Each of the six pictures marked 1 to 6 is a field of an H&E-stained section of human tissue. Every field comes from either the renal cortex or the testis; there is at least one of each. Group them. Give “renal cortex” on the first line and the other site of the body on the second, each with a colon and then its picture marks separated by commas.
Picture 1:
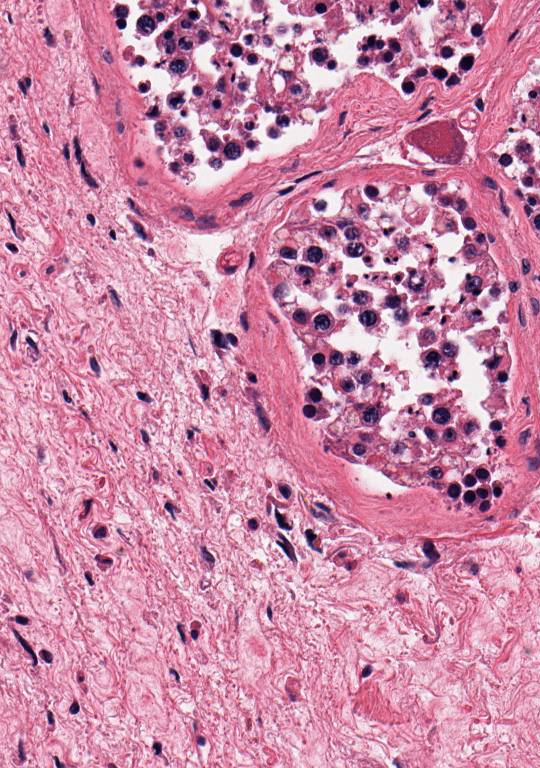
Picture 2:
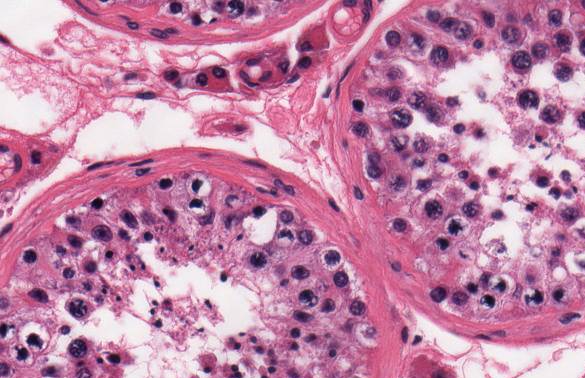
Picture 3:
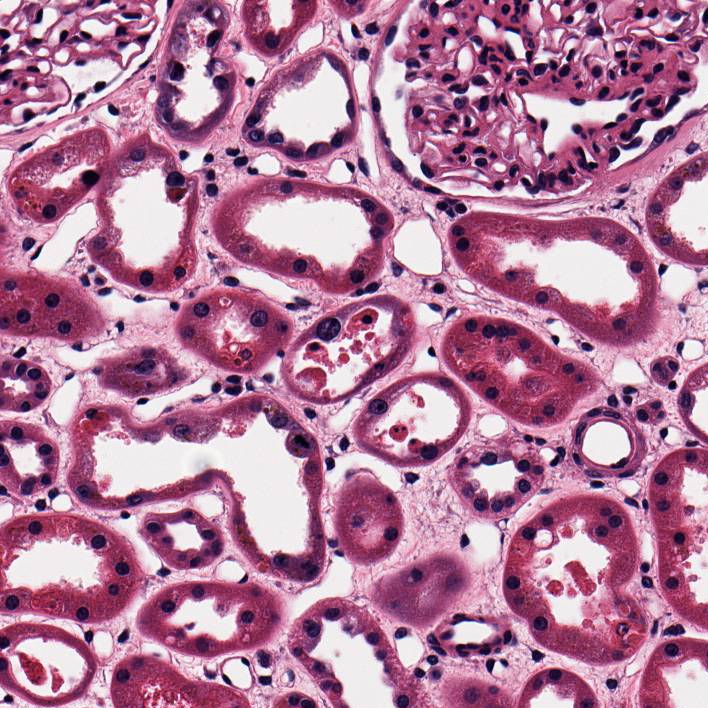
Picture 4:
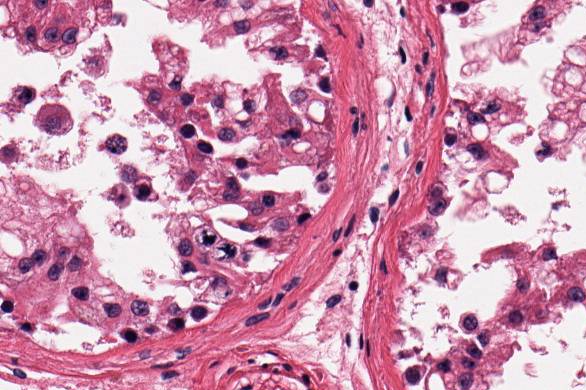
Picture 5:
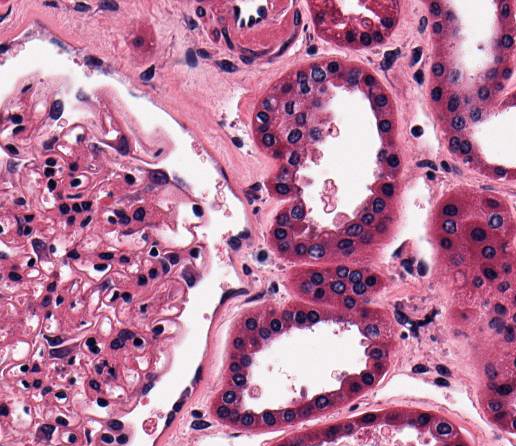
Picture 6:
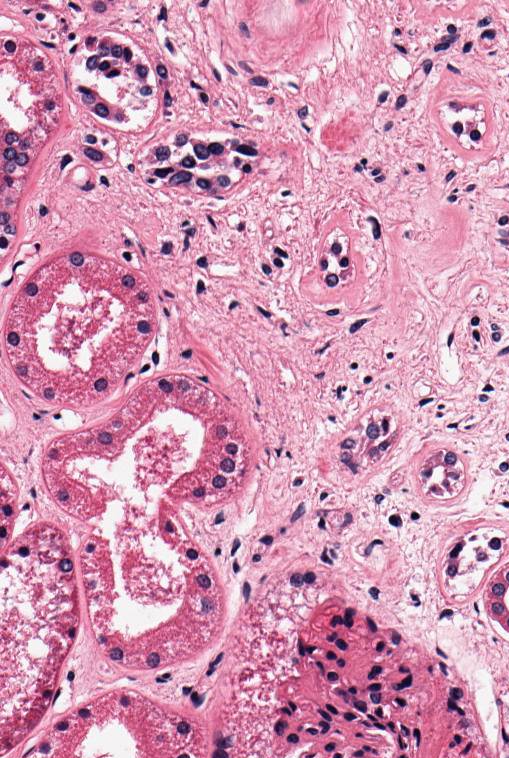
renal cortex: 3, 5, 6
testis: 1, 2, 4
